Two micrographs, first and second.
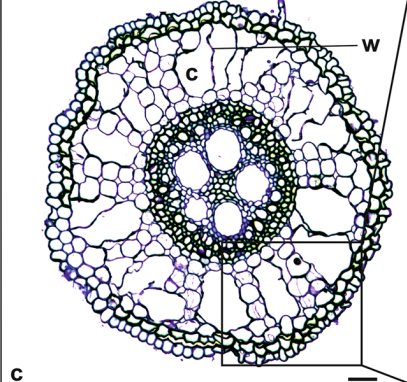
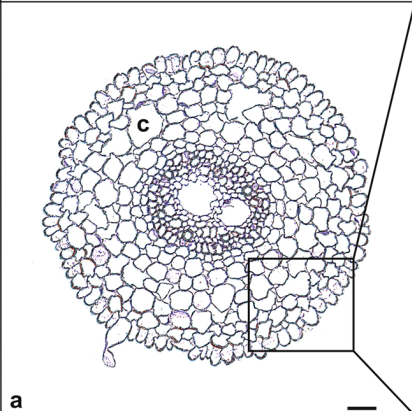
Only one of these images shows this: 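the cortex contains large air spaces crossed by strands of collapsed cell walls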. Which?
The first image.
